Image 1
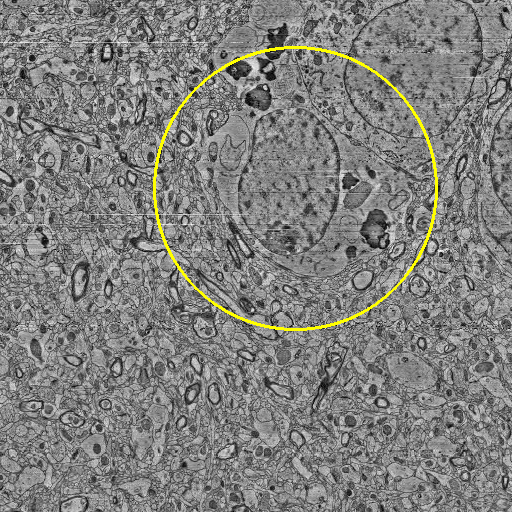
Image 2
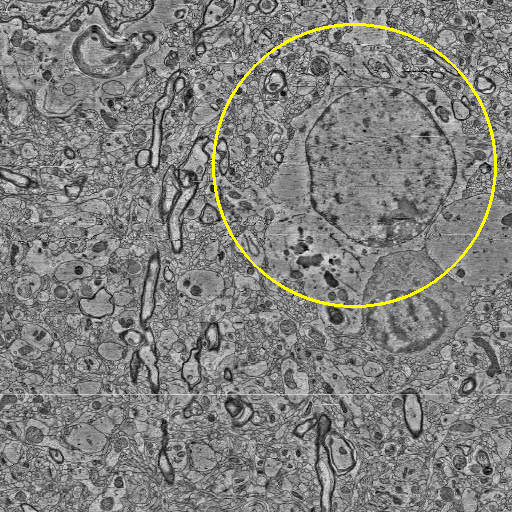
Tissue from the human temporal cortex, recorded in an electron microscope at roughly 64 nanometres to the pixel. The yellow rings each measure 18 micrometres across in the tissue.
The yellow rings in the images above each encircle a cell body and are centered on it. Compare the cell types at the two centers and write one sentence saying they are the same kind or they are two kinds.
Taken together, the two cells at the ring centers are the same kind.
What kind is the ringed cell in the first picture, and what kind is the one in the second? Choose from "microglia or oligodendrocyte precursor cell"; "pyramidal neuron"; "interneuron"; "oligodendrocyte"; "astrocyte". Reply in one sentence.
The first and the second cell are each an astrocyte.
